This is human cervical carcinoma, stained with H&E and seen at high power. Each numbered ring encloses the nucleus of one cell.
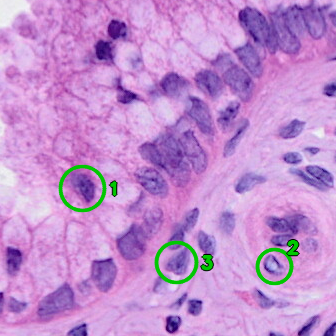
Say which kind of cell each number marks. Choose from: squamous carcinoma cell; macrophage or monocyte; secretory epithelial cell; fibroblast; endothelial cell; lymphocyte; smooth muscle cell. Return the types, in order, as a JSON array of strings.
["secretory epithelial cell", "smooth muscle cell", "fibroblast"]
